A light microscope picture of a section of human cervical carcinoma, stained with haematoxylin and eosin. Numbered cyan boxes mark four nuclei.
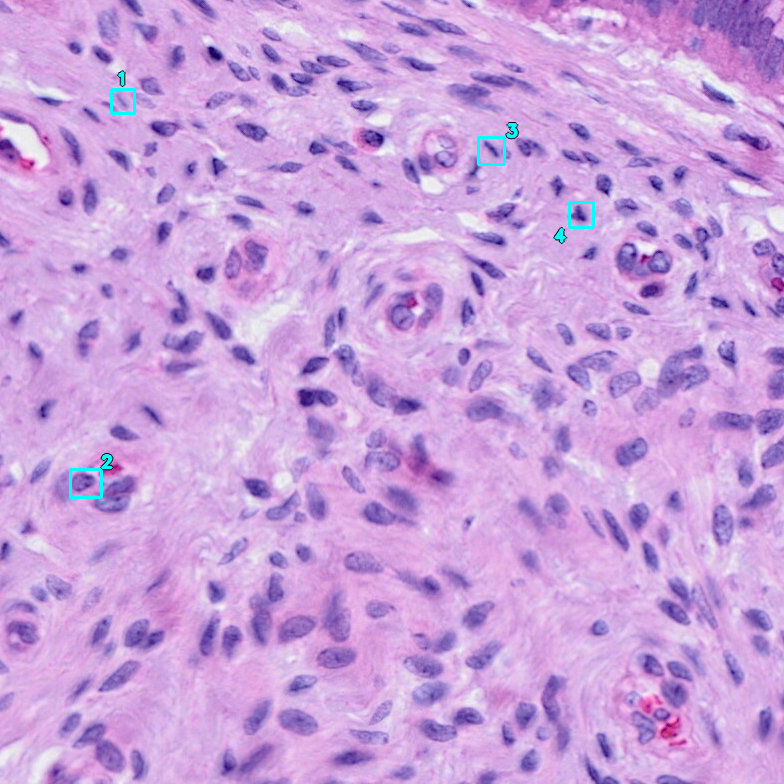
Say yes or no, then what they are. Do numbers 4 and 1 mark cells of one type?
Yes, the two numbered cells, 4 and 1, are both fibroblasts.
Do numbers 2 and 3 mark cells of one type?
No, the cell at number 2 is an endothelial cell, and the cell at number 3 is a fibroblast.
